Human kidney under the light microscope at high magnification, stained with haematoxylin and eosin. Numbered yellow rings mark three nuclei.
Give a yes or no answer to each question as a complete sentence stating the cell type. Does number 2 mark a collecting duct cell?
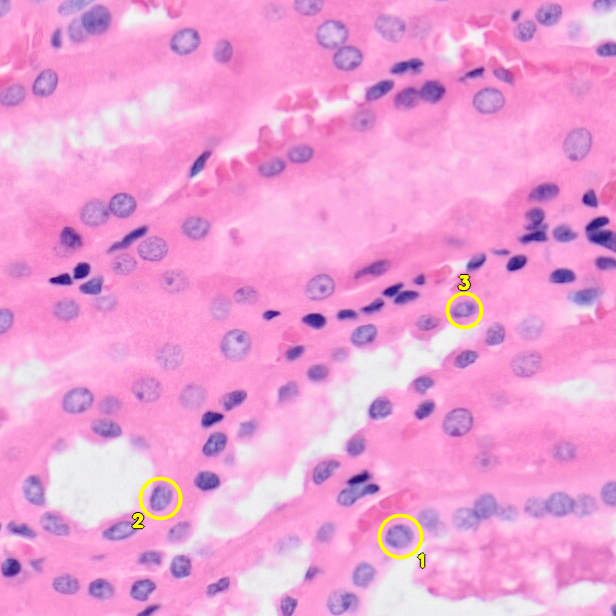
No, what number 2 shows is a loop of Henle or distal tubule cell, not a collecting duct cell.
